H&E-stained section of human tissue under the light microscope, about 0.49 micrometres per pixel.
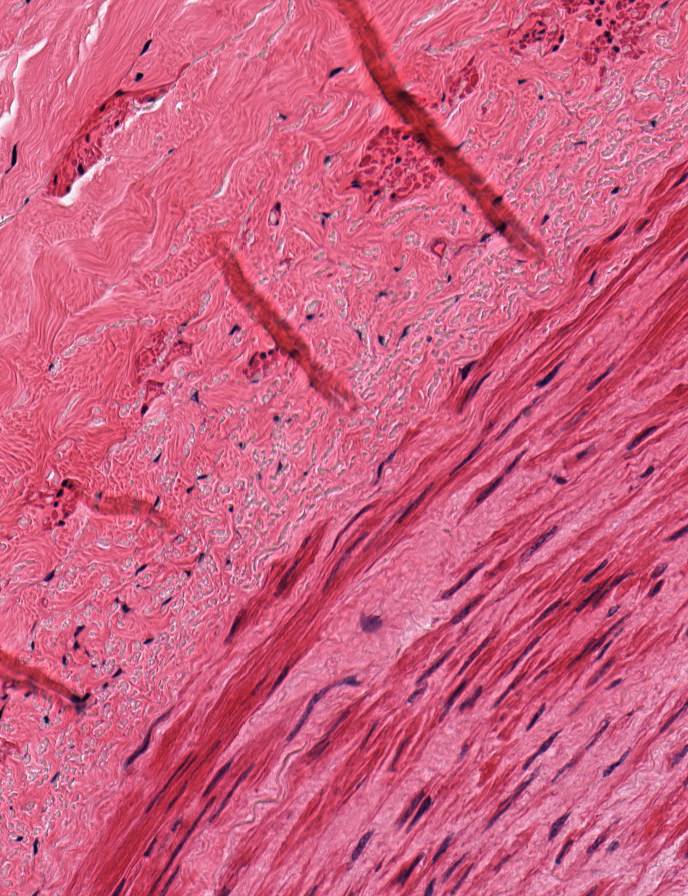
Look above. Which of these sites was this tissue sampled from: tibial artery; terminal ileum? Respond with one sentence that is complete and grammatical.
This slide holds tissue sampled from the tibial artery.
